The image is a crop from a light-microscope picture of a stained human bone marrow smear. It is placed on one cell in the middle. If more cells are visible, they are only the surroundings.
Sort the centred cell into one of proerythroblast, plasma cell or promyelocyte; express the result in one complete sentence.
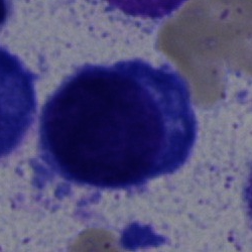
The centrally placed cell is classified as a plasma cell.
